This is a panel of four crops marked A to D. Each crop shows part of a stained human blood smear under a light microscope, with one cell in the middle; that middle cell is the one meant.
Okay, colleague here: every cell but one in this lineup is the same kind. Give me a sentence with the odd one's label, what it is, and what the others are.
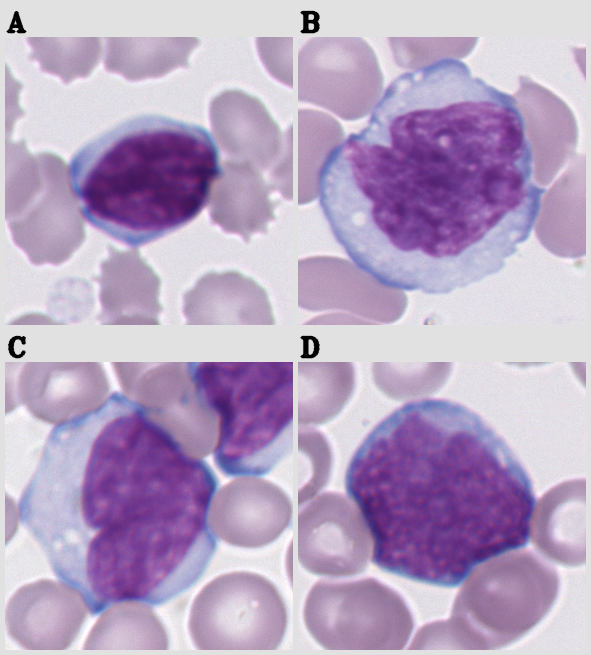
The different crop is crop A, a typical lymphocyte; all the others show myeloblasts.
